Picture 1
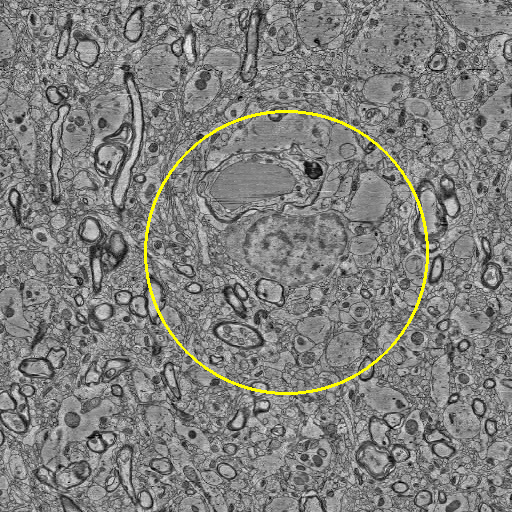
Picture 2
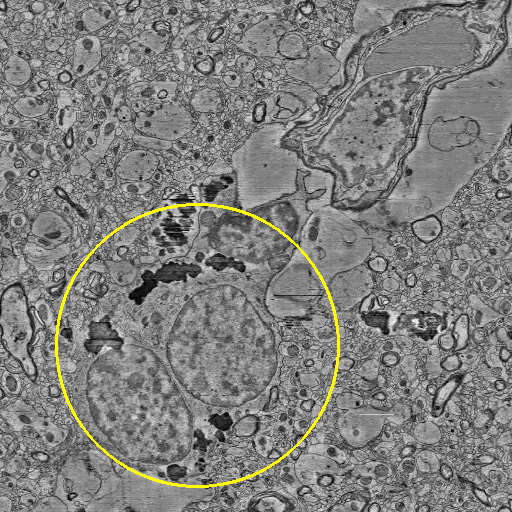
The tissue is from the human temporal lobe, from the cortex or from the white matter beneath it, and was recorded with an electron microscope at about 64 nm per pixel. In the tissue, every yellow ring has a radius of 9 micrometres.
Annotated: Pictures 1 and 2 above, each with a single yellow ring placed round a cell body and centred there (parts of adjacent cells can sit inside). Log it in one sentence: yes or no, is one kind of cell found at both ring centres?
Yes, the ring centres of the two pictures hold cells of one kind.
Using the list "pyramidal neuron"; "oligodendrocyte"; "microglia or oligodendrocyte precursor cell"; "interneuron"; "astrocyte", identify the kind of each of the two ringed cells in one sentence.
Each cell, in the first picture and the second, is an oligodendrocyte.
